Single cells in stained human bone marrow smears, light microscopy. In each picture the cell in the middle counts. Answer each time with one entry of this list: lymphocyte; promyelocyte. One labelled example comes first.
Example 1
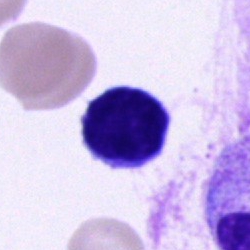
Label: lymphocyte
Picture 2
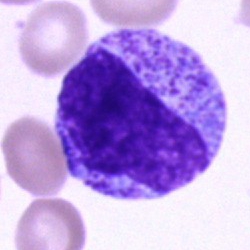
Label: promyelocyte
